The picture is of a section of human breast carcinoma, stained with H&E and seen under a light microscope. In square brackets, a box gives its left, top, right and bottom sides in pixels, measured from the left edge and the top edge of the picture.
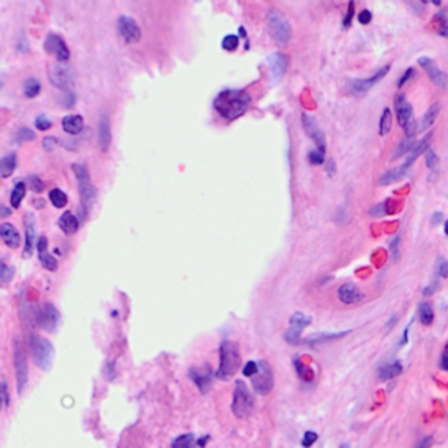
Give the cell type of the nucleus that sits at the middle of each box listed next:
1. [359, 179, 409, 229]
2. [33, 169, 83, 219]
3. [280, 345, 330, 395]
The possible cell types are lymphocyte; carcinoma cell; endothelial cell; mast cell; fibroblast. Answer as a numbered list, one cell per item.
1. endothelial cell
2. lymphocyte
3. endothelial cell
